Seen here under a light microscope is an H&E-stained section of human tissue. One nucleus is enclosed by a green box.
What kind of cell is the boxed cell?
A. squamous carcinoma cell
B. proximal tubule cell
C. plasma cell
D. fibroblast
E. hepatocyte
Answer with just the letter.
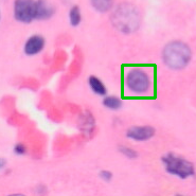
B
